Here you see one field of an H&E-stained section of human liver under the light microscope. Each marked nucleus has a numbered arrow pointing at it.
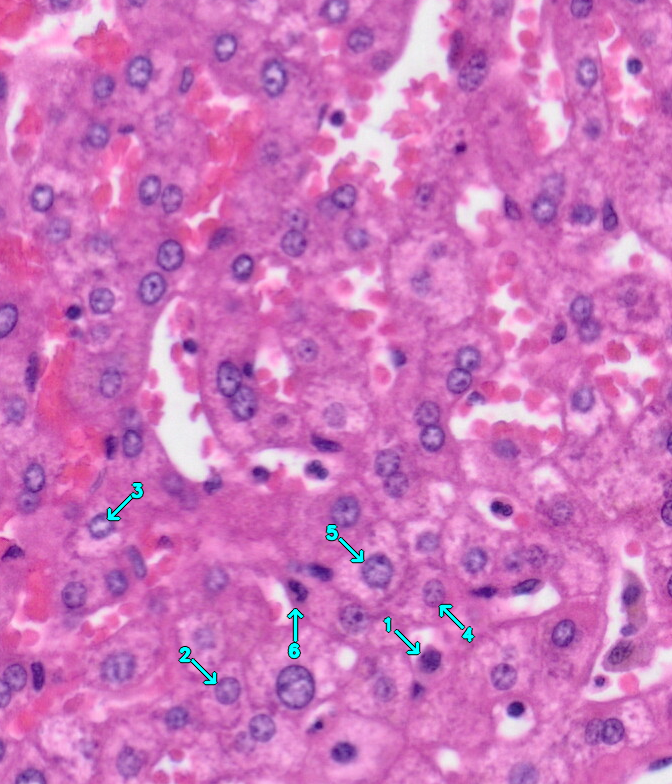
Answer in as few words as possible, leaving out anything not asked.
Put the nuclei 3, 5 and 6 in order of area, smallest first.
6, 3, 5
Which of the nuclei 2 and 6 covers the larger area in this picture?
2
